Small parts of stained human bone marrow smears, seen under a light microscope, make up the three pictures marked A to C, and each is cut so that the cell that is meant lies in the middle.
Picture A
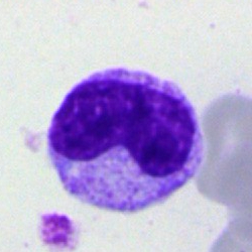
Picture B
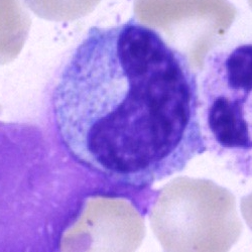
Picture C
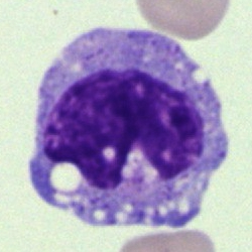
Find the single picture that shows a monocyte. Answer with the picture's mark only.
C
